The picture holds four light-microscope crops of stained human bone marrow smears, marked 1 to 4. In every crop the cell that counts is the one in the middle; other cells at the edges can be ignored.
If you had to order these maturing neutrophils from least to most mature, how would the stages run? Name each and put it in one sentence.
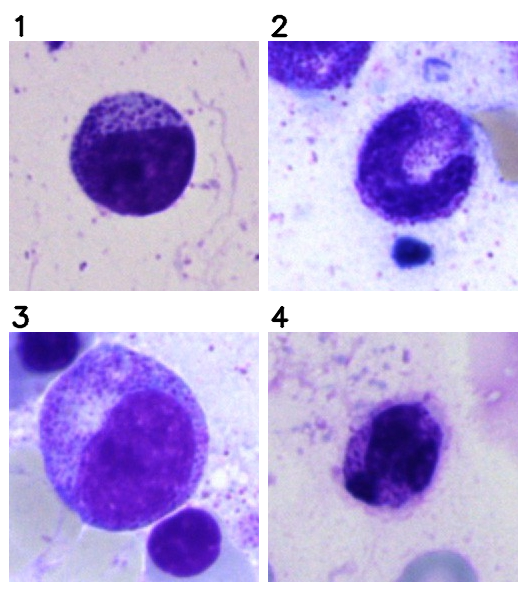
Ordering these by maturity, least mature first, yields crop 3 (a myelocyte), crop 1 (a metamyelocyte), crop 2 (a band neutrophil) and crop 4 (a segmented neutrophil).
